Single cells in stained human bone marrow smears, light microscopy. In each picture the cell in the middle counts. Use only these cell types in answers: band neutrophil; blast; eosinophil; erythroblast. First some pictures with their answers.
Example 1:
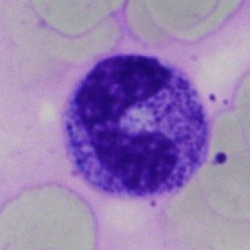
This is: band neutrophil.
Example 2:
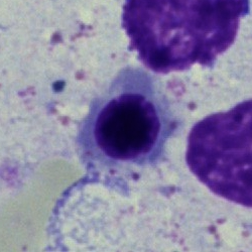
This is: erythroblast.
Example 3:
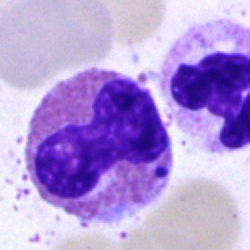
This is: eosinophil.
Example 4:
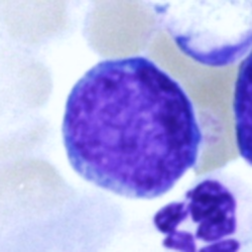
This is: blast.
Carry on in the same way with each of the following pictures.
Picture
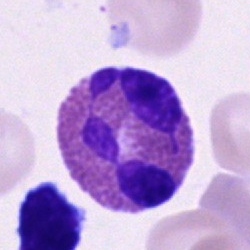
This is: eosinophil.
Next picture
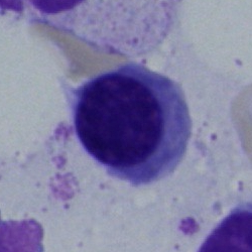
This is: erythroblast.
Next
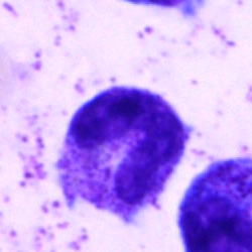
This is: band neutrophil.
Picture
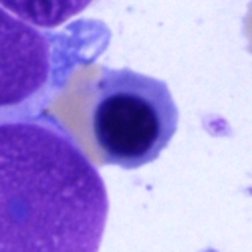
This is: erythroblast.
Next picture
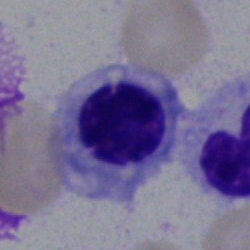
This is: erythroblast.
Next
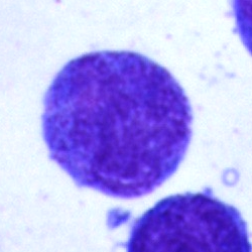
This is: blast.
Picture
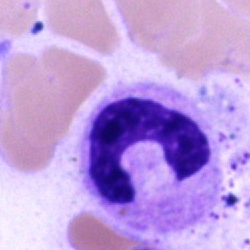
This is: band neutrophil.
